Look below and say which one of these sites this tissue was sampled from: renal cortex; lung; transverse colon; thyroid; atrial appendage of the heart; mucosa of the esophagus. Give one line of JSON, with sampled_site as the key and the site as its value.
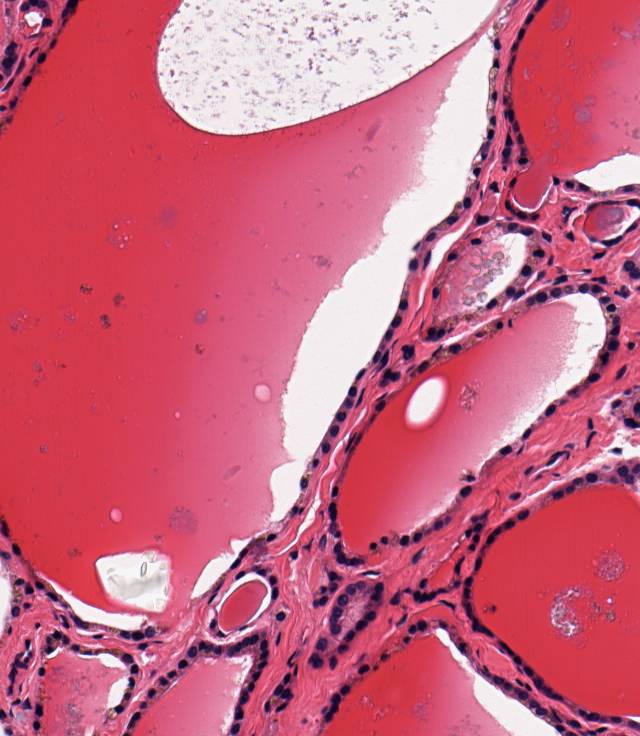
{"sampled_site": "thyroid"}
